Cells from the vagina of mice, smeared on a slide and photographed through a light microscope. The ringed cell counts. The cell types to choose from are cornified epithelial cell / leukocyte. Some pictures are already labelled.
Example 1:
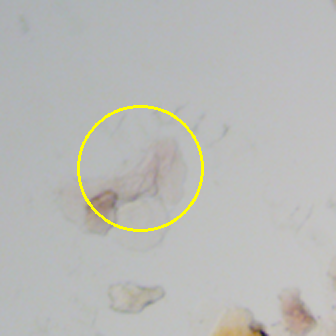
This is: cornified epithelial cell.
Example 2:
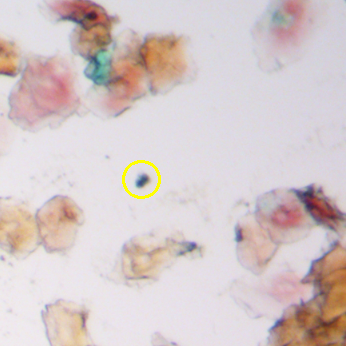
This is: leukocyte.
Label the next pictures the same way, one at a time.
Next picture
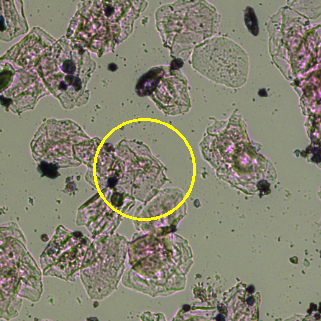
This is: cornified epithelial cell.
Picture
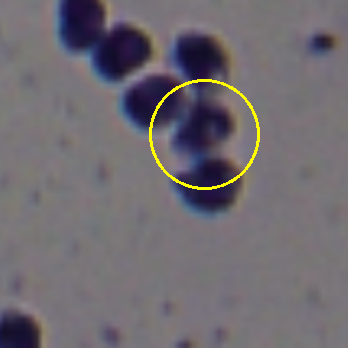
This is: leukocyte.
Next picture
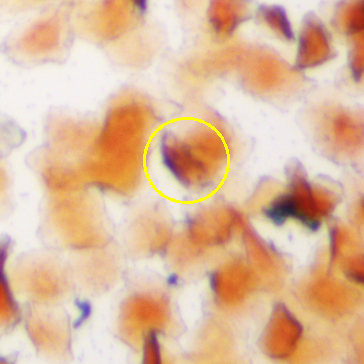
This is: cornified epithelial cell.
